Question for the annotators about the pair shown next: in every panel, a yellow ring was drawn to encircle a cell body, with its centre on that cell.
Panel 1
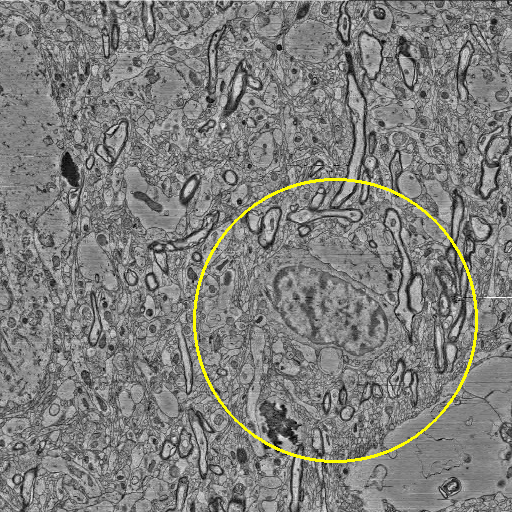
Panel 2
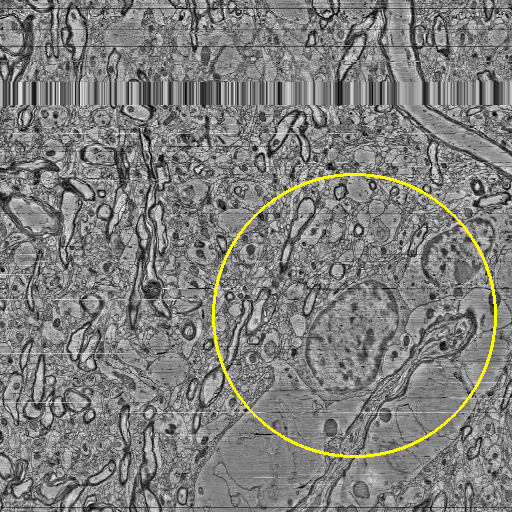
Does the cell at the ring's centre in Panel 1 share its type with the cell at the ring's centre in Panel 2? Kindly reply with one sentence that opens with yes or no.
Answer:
Yes, in Panels 1 and 2 the cells at the ring centres belong to a single type.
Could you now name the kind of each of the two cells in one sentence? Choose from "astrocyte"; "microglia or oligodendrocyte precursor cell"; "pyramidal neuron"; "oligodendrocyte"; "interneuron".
In each of the two pictures, the ringed cell is an oligodendrocyte.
